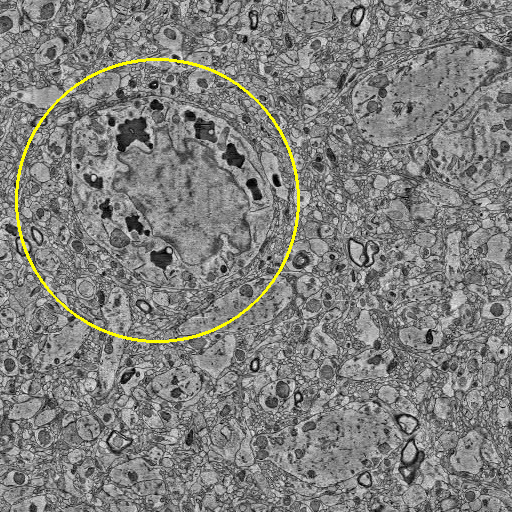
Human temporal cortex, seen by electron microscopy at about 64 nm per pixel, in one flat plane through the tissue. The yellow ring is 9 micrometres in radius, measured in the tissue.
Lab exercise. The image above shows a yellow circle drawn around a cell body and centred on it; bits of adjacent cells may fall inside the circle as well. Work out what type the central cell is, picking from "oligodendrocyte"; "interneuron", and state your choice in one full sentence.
In the image above, the cell at the centre of the yellow circle is an interneuron.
